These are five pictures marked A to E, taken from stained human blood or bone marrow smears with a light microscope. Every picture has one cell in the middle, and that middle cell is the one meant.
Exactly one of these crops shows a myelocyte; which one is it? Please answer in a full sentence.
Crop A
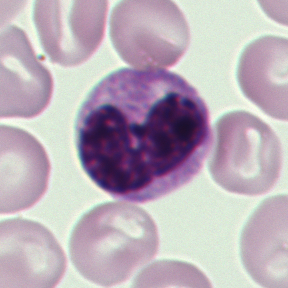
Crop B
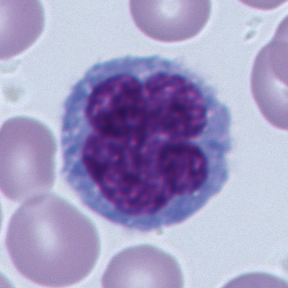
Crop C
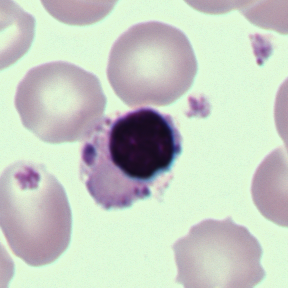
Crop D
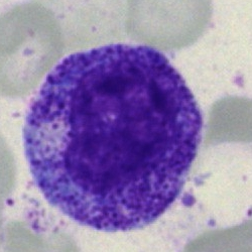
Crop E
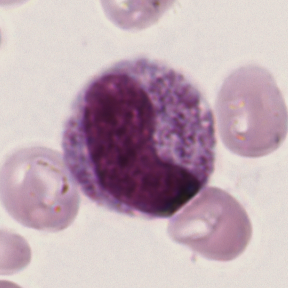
Crop D alone, of all the crops, shows a myelocyte.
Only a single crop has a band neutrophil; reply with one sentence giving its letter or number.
Crop A shows a band neutrophil, and no other crop does.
